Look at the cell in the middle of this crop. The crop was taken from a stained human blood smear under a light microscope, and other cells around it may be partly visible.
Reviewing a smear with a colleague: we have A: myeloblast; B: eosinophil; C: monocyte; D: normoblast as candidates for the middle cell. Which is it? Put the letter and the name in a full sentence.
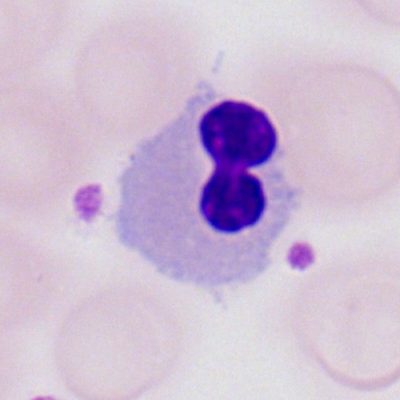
Located in the middle of the crop is a normoblast, and option D is therefore correct.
